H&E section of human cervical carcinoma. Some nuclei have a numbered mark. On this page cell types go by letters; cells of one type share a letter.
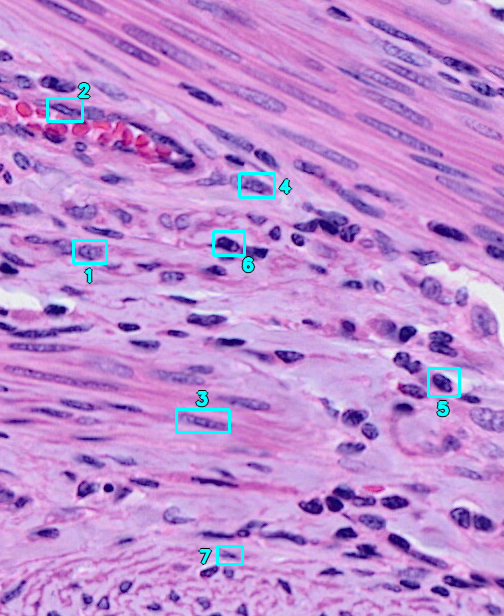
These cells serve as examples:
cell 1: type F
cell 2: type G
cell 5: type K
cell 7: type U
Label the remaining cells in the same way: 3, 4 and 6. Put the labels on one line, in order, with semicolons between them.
type F; type U; type K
